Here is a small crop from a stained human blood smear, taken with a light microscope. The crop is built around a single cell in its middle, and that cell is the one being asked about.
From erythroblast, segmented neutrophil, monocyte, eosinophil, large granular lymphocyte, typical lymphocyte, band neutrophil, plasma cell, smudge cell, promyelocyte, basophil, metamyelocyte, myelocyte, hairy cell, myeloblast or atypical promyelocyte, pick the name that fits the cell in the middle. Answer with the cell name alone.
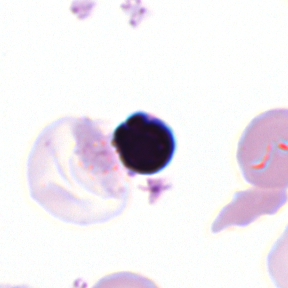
erythroblast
